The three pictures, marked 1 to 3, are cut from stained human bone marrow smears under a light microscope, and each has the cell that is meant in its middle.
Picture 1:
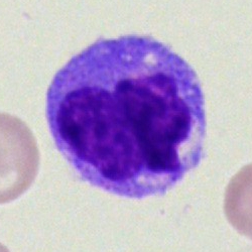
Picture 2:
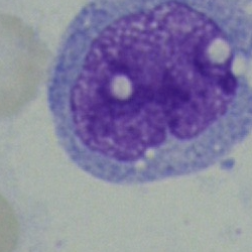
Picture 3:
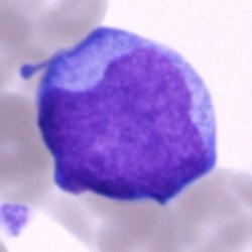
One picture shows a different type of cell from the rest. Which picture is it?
3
